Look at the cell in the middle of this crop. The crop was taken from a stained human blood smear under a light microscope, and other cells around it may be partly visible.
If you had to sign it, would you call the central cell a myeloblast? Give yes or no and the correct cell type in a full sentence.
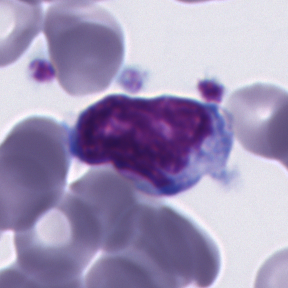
No, the central cell isn't a myeloblast, but a typical lymphocyte.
